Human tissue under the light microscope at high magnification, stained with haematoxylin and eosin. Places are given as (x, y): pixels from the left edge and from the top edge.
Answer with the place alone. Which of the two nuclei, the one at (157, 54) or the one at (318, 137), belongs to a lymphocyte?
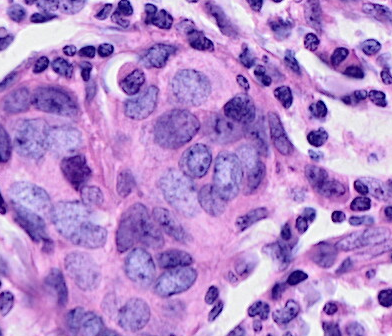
(318, 137)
